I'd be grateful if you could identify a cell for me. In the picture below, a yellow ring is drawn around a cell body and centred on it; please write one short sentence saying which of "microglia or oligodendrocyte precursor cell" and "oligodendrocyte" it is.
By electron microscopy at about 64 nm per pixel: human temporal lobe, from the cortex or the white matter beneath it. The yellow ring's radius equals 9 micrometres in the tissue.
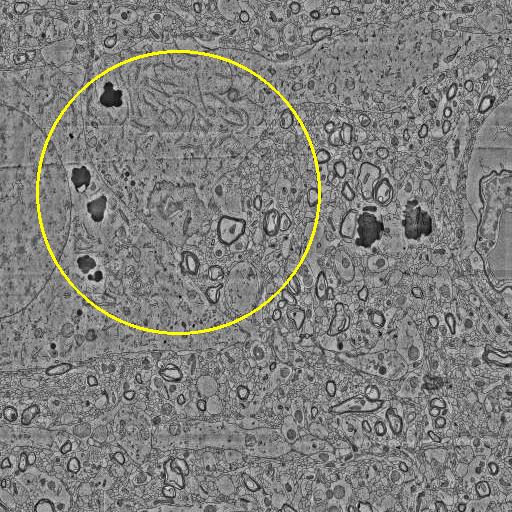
The cell under the ring's centre is an oligodendrocyte.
